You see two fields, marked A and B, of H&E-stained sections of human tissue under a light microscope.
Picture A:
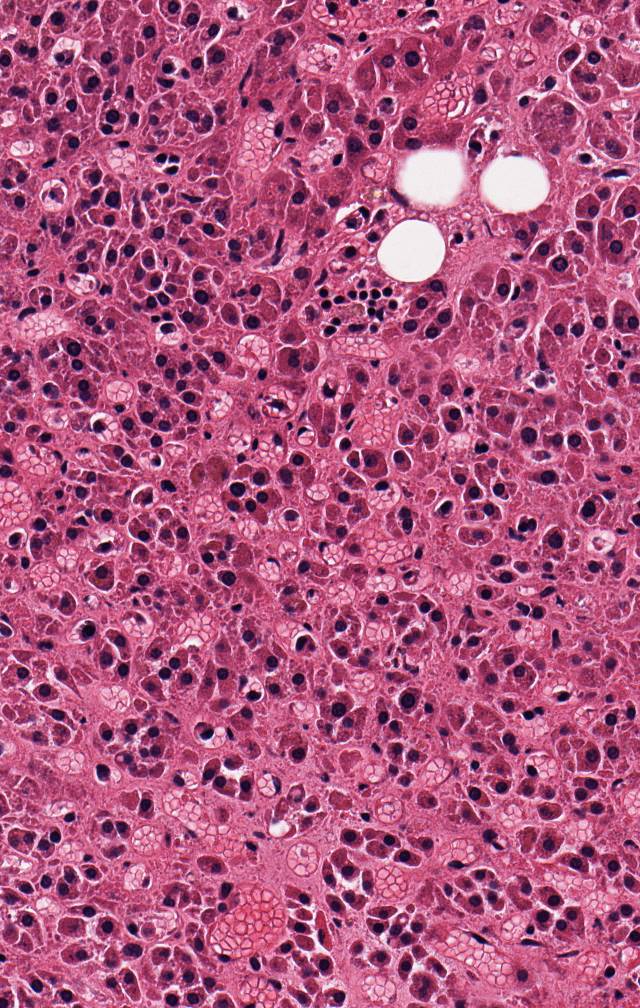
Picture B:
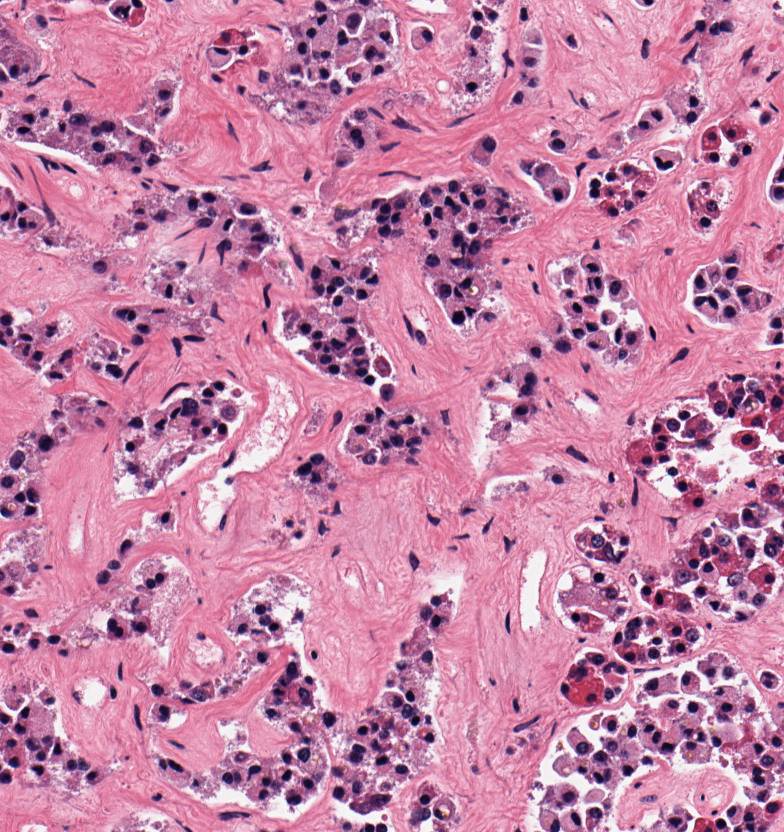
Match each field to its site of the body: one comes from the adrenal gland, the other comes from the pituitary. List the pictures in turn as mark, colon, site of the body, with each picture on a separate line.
A: adrenal gland
B: pituitary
